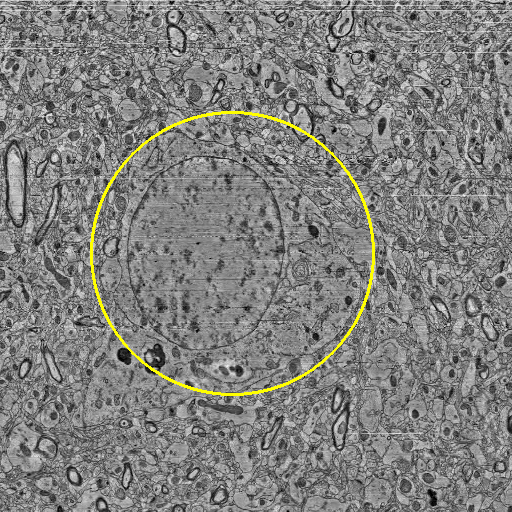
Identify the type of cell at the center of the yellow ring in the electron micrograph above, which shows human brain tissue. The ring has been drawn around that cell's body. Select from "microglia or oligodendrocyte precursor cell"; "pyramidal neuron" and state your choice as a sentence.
The yellow ring is centered on the body of a pyramidal neuron.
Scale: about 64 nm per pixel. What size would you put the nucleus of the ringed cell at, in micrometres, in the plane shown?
The nucleus has a long axis of about 13 micrometres and a short axis of about 10 micrometres in this plane.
